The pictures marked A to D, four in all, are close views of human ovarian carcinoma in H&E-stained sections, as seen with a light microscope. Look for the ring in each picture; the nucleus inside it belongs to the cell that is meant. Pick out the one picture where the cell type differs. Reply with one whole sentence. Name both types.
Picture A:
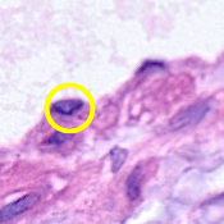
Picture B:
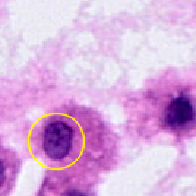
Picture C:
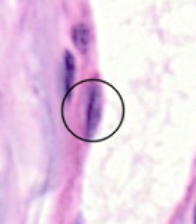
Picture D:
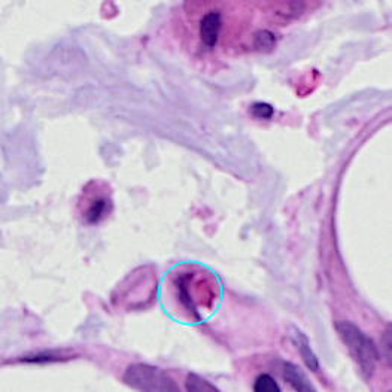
Picture B differs, because its cell is a “macrophage or monocyte” and the rest are endothelial cells.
